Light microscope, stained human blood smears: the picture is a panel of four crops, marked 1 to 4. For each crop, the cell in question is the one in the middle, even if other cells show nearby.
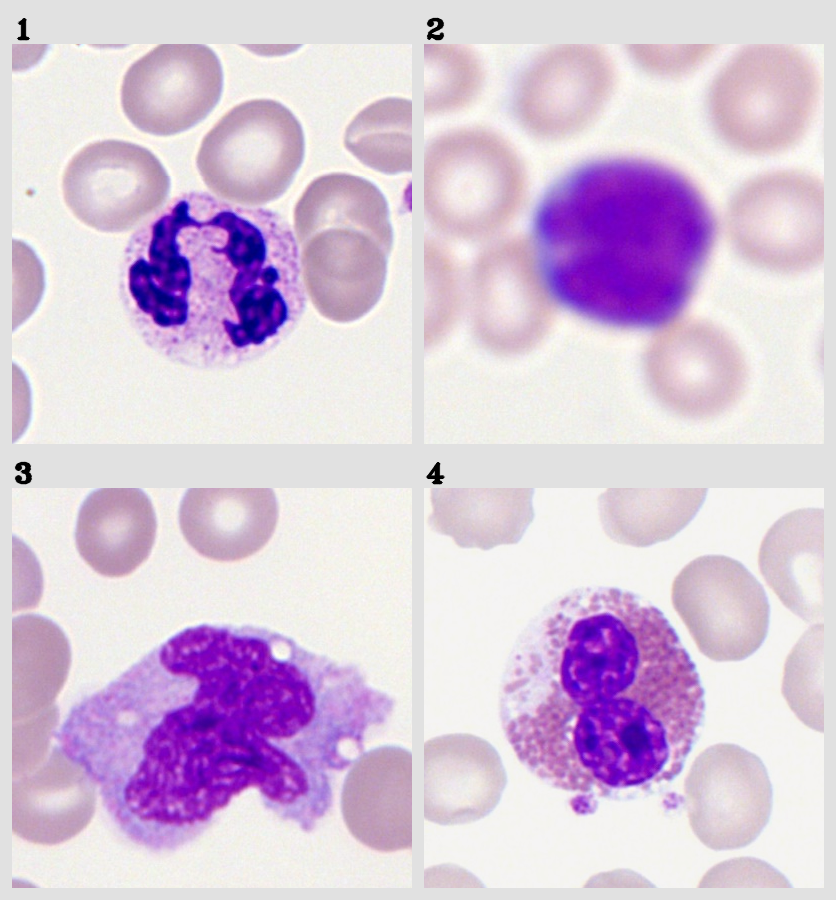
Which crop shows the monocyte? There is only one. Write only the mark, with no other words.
3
